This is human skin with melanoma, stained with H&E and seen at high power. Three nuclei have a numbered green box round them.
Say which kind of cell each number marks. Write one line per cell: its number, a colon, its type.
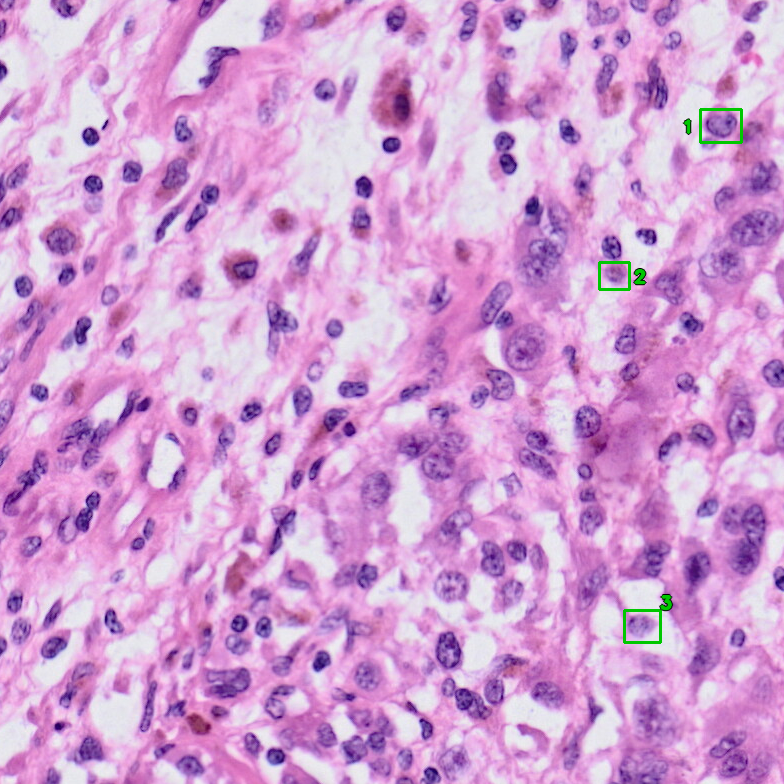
1: macrophage or monocyte
2: macrophage or monocyte
3: melanoma cell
